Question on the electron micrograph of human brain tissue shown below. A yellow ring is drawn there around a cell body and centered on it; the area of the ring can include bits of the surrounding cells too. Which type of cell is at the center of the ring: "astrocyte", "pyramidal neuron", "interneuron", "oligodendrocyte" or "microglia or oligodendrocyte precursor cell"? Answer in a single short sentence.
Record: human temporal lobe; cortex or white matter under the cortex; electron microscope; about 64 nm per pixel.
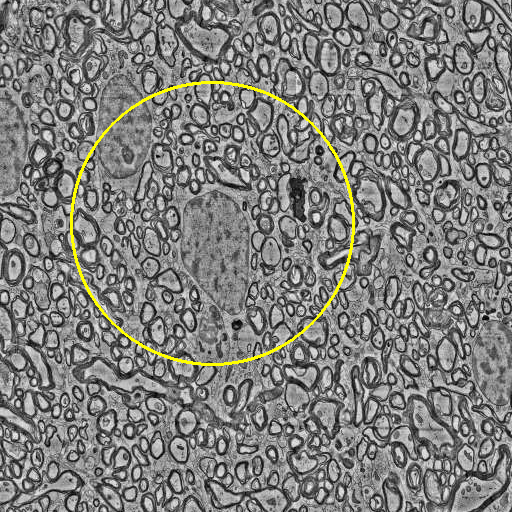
The ring is centered on a microglial cell or oligodendrocyte precursor cell.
